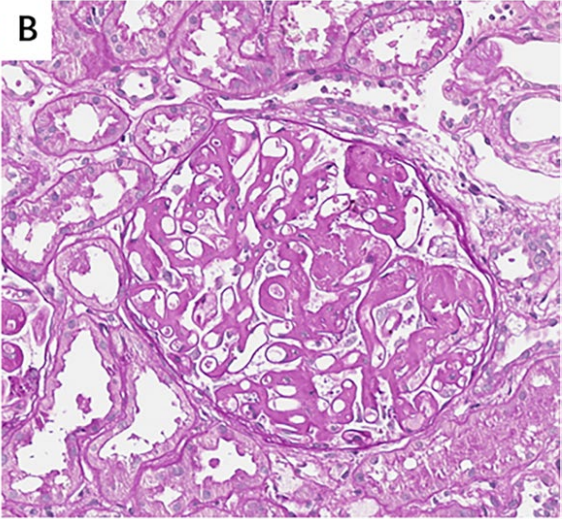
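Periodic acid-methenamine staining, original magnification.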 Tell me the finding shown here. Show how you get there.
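Narrowed or occlusive capillary lumina. Magenta material crowds around and between the loops.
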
